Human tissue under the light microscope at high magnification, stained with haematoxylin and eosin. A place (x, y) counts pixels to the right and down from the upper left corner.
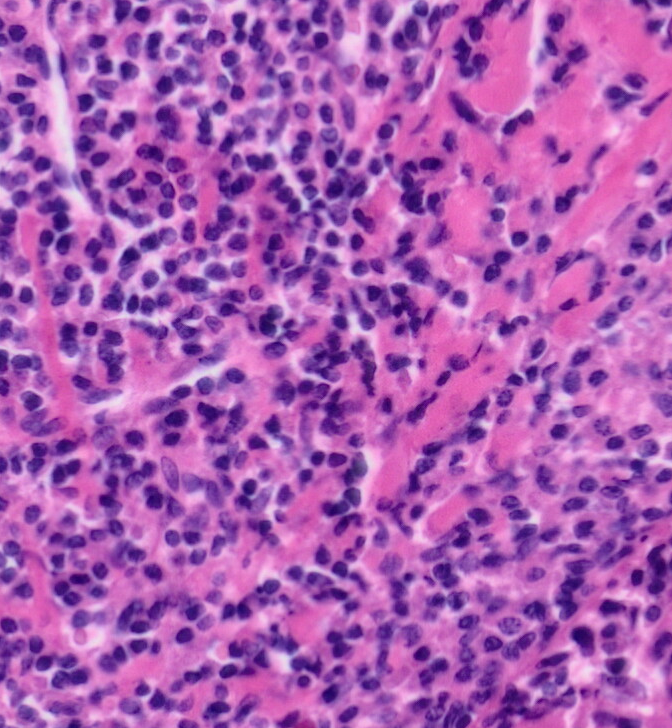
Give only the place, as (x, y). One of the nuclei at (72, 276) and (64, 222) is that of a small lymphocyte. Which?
(64, 222)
